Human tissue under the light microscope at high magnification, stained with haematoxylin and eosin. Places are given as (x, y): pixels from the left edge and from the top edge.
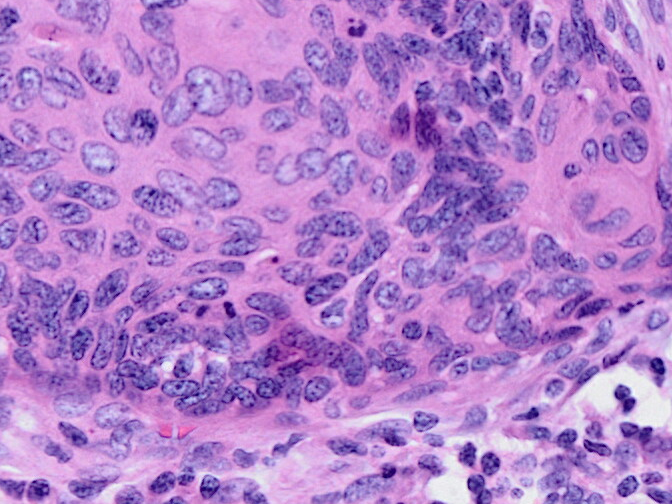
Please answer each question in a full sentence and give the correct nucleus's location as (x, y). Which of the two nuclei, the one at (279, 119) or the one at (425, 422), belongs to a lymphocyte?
The nucleus found at (425, 422) belongs to a lymphocyte.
